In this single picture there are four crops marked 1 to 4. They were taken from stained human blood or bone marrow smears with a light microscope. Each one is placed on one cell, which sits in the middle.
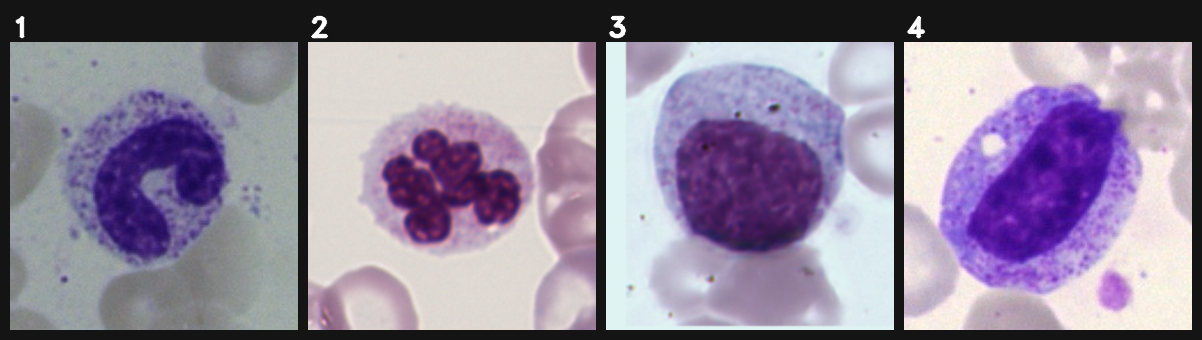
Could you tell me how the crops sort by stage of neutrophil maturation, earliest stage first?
3, 4, 1, 2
